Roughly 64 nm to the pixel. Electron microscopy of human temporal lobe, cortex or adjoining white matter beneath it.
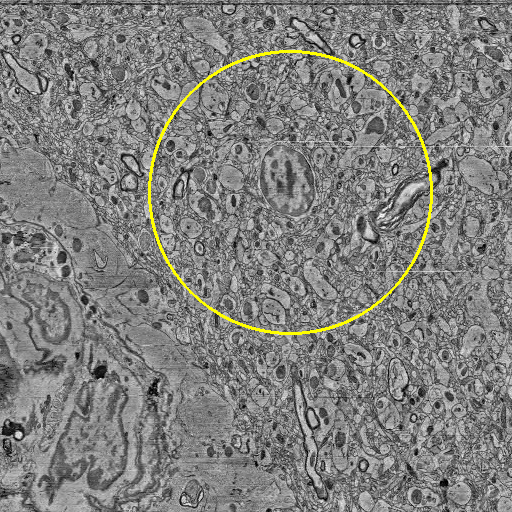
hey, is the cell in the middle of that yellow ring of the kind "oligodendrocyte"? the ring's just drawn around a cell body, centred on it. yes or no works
no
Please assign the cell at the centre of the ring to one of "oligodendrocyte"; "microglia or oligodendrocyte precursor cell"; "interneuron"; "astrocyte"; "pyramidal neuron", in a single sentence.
Instead, the cell at the centre of the yellow ring is a microglial cell or oligodendrocyte precursor cell.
